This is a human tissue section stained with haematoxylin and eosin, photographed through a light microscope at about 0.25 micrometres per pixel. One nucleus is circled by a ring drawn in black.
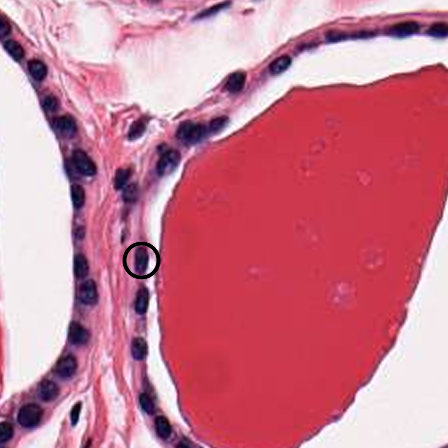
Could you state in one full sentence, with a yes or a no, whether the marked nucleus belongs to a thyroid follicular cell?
Yes, it is the nucleus of a thyroid follicular cell that has been marked.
